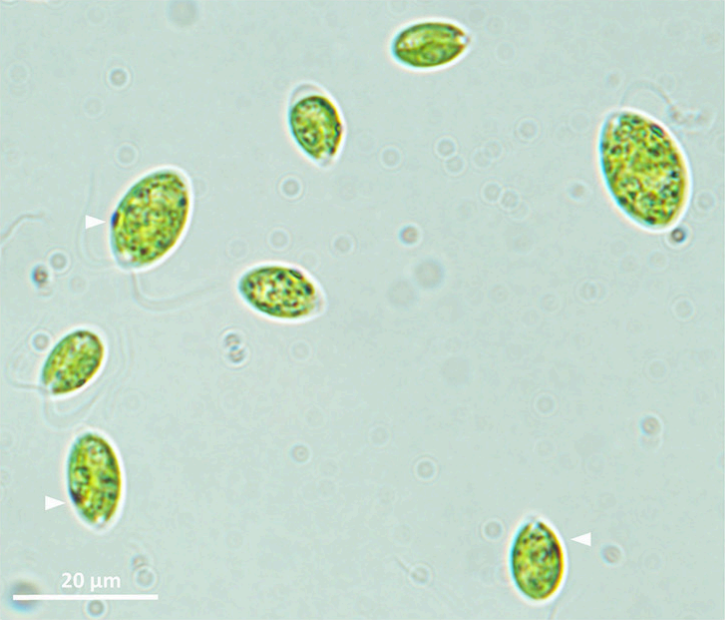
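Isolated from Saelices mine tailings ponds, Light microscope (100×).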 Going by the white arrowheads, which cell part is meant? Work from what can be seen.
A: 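Each arrowhead points to a small dark spot at the edge of a cell. The spot lies at the cell periphery, apart from the granular green interior. The answer: eyespot.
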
